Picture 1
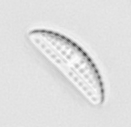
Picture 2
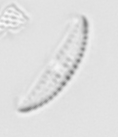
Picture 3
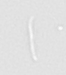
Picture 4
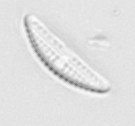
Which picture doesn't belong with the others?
Picture 3.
